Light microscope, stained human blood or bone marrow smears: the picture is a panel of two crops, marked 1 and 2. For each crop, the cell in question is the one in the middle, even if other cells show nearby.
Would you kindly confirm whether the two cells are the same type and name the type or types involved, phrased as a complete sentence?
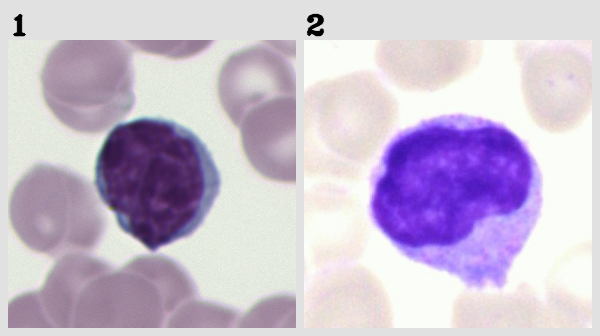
Yes, in both crops the centred cells are lymphocytes.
